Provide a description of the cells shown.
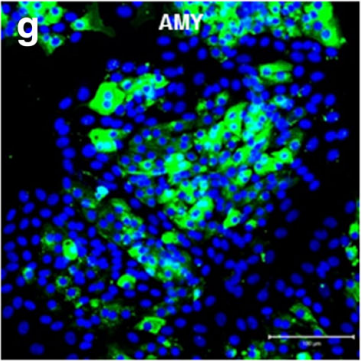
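A dense sheet of cultured pancreatic exocrine cells with round to oval blue nuclei. Many cells in the central cluster have cytoplasm filled with green, some of them large and polygonal, while the surrounding cells show only blue nuclei on a dark background.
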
